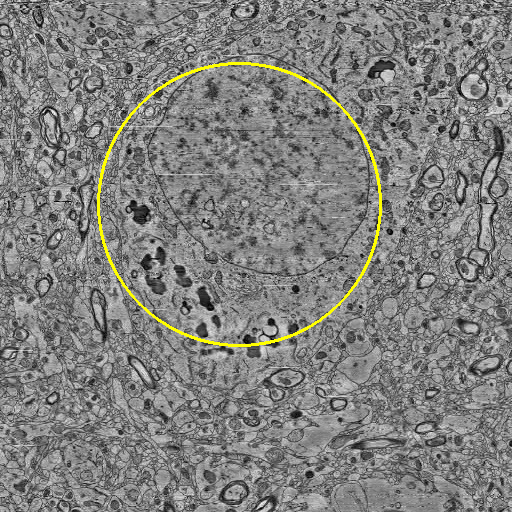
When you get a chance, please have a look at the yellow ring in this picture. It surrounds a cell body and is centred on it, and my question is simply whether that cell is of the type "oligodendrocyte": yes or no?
No, the cell is of another type.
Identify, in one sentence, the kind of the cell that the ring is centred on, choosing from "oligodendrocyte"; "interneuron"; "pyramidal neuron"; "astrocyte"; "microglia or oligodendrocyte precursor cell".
Instead, the ring surrounds a pyramidal neuron in this picture.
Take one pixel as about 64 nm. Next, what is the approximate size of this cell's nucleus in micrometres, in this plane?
In this plane, roughly 15 by 13 micrometres.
